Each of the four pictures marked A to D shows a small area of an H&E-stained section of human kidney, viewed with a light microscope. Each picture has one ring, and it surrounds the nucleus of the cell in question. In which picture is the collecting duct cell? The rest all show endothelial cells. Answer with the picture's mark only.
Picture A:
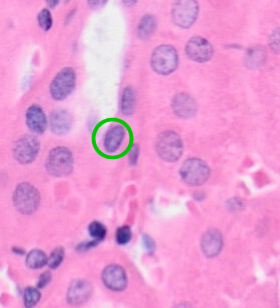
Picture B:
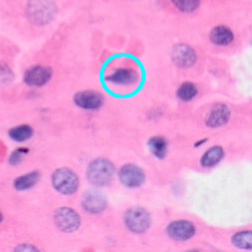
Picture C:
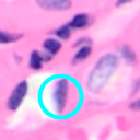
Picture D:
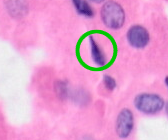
A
